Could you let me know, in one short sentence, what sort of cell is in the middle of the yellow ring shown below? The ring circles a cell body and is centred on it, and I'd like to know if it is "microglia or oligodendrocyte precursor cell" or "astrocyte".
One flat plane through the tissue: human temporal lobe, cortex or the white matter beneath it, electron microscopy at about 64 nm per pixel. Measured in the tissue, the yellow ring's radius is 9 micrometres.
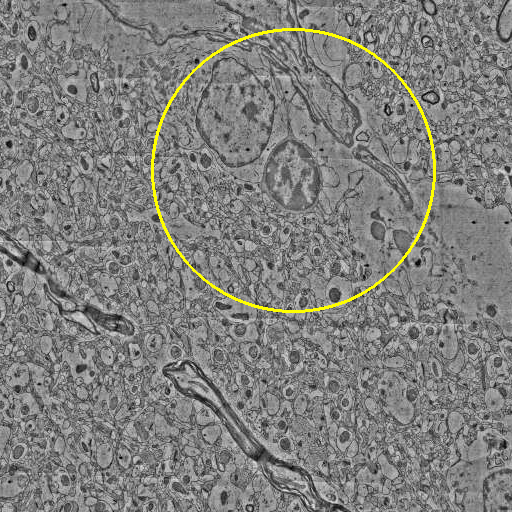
The ring circles the cell body of a microglial cell or oligodendrocyte precursor cell.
